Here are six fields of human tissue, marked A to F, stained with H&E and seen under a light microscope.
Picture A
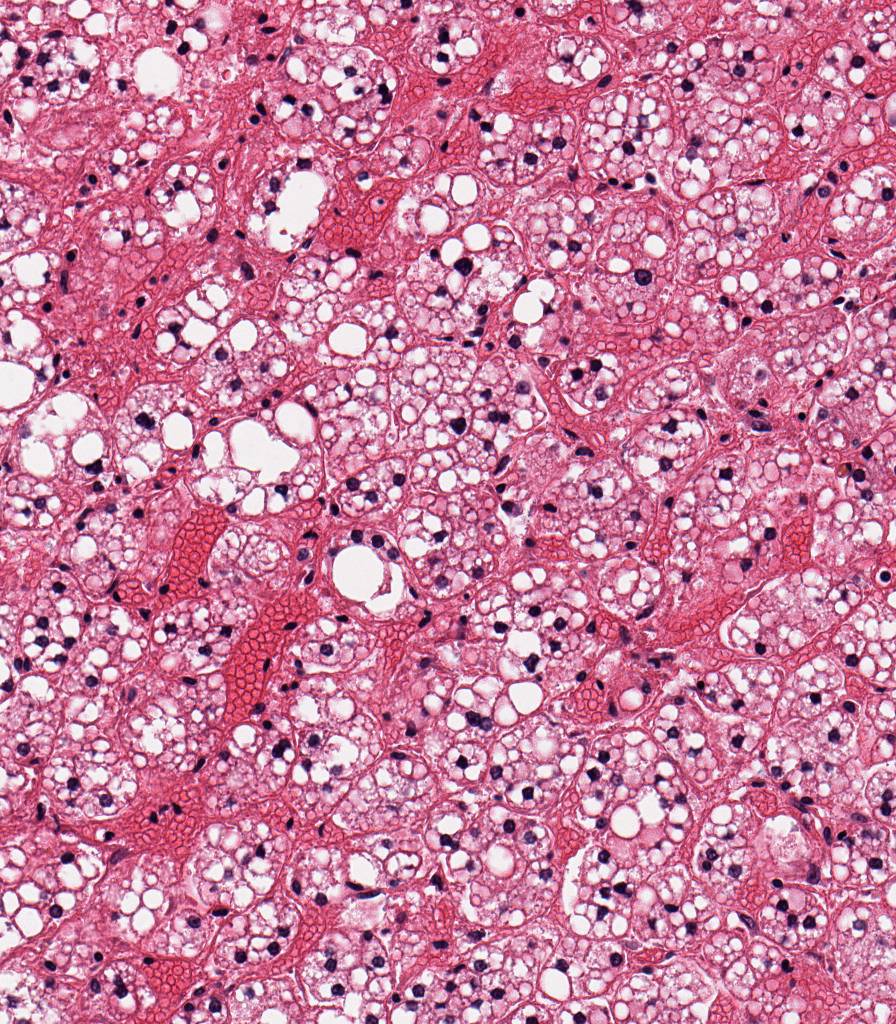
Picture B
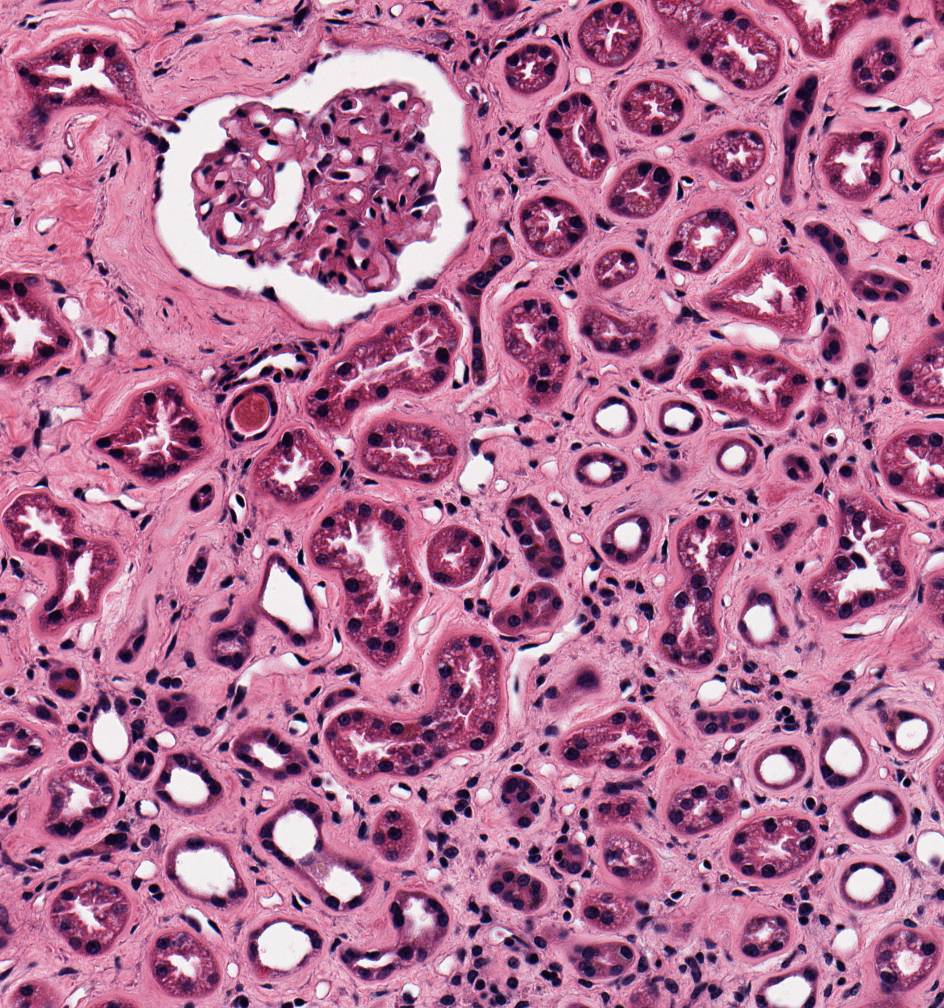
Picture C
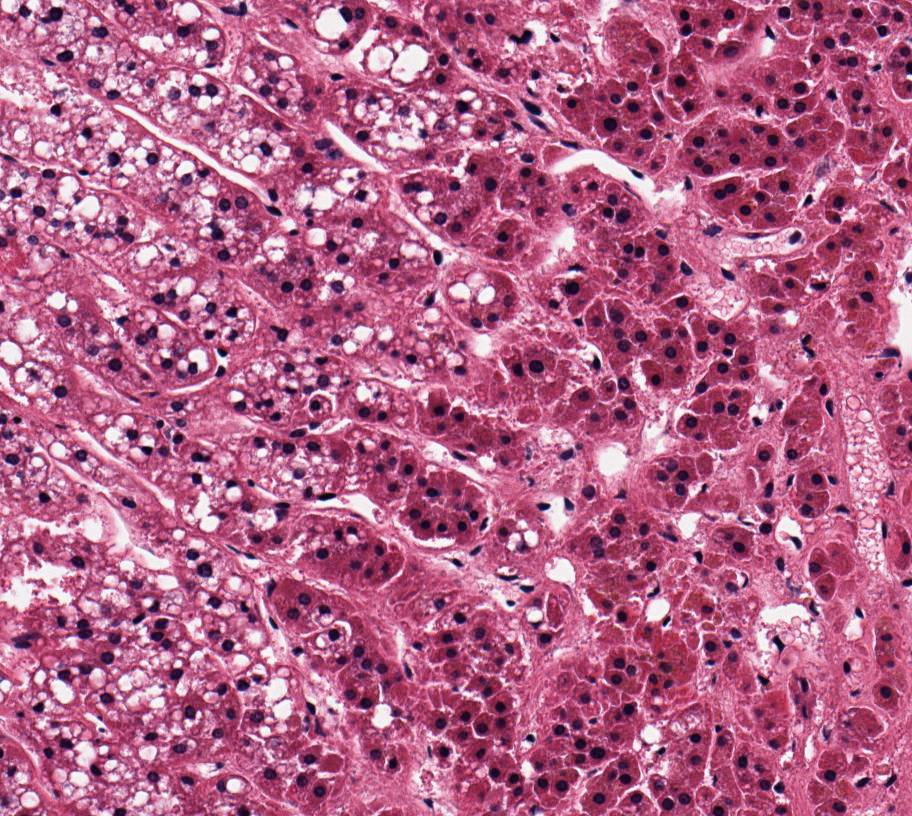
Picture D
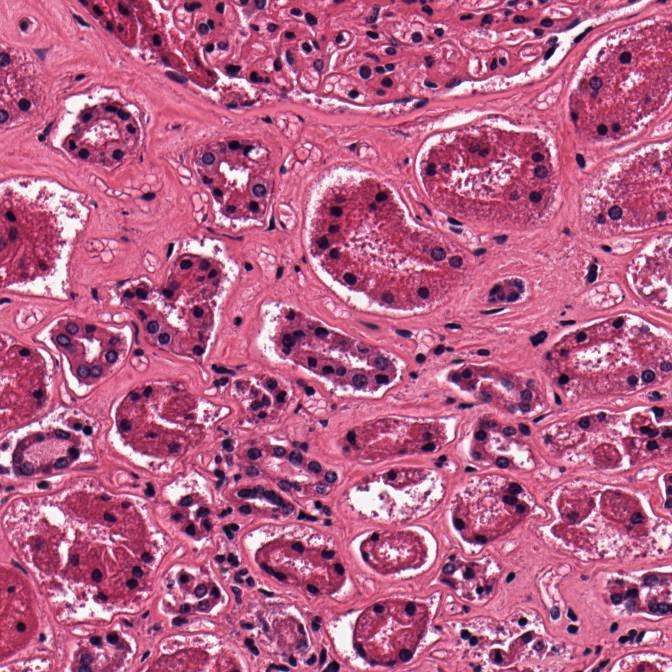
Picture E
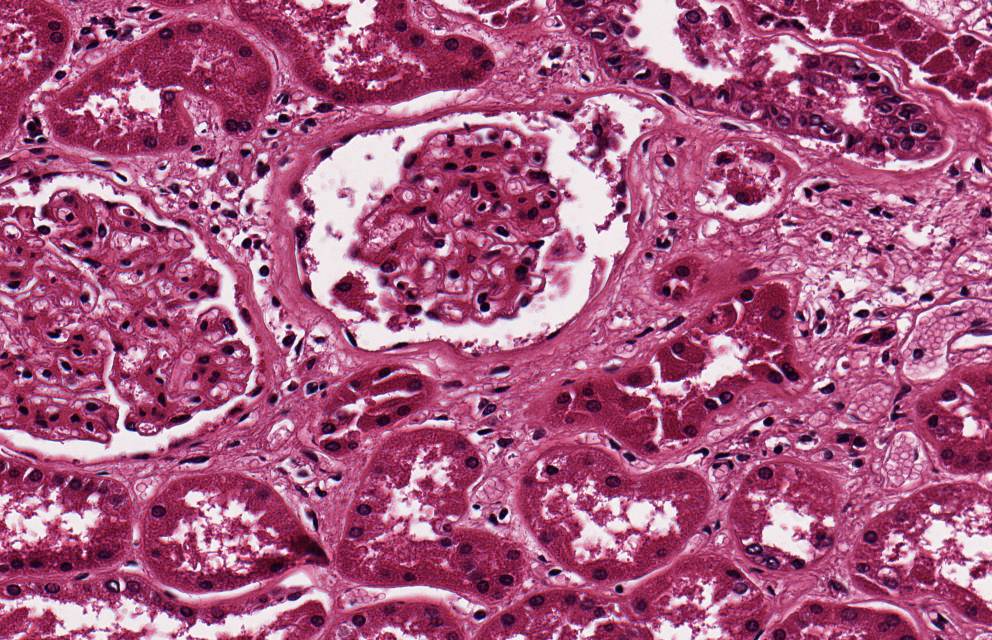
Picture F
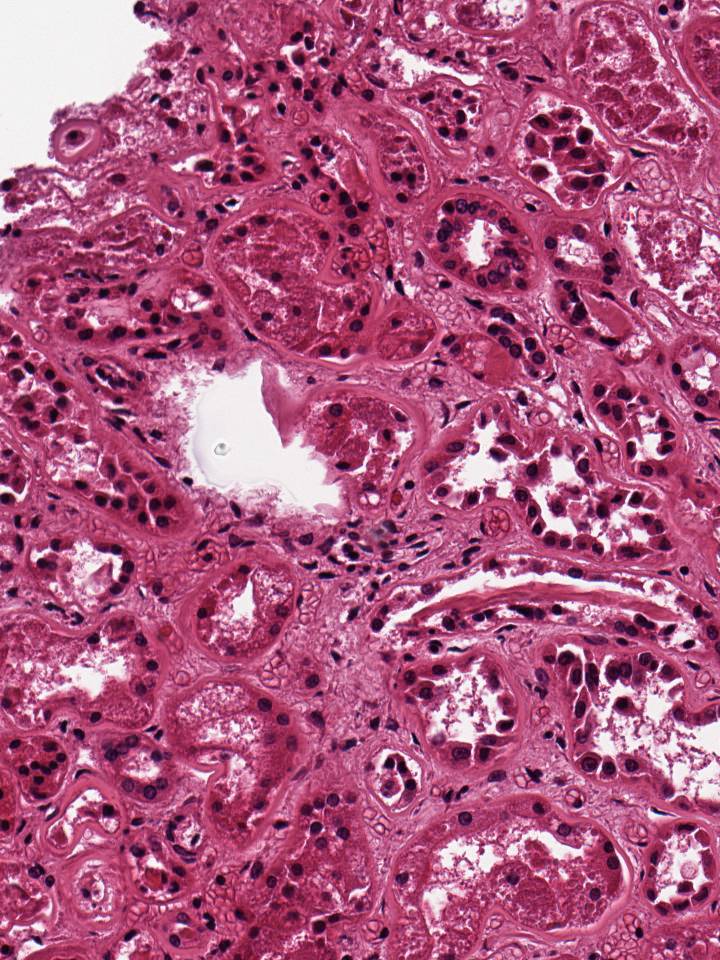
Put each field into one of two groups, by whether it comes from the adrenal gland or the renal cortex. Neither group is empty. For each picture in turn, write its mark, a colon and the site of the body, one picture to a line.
A: adrenal gland
B: renal cortex
C: adrenal gland
D: renal cortex
E: renal cortex
F: renal cortex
